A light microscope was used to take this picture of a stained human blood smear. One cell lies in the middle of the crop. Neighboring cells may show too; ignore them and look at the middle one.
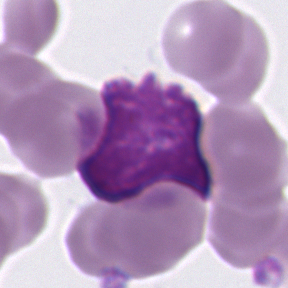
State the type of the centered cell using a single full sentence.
As for the cell in the middle, it is a smudge cell.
